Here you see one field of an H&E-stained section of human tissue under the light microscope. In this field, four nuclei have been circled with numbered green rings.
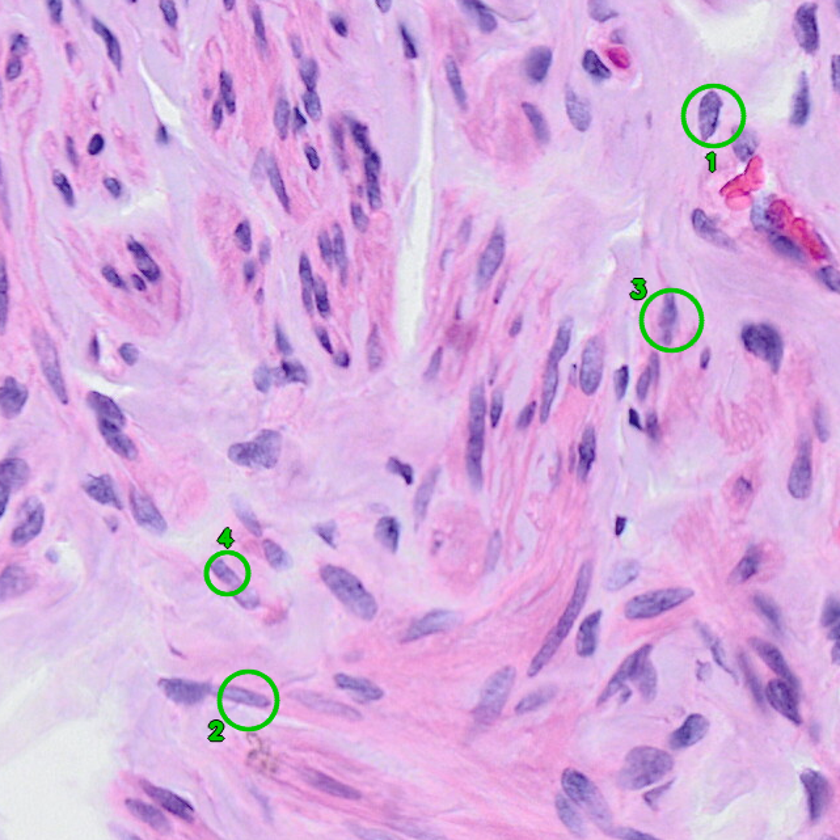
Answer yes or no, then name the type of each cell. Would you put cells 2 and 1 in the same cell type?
No, the correct reading has cell 2 as a smooth muscle cell and cell 1 as a fibroblast.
